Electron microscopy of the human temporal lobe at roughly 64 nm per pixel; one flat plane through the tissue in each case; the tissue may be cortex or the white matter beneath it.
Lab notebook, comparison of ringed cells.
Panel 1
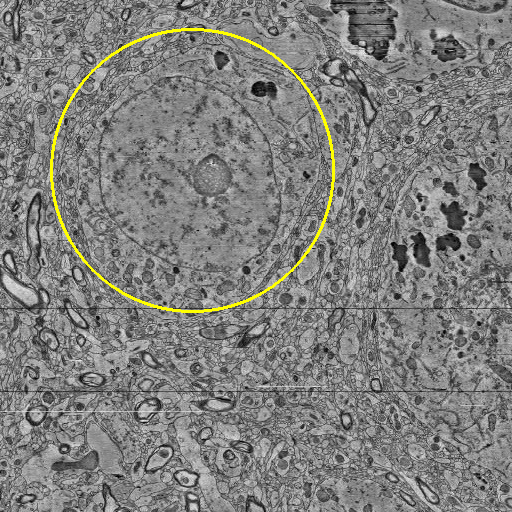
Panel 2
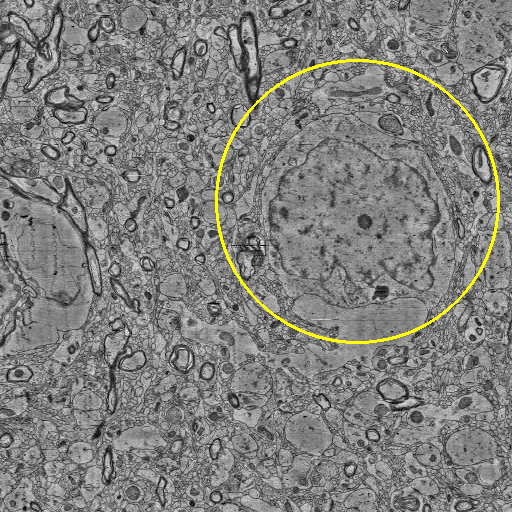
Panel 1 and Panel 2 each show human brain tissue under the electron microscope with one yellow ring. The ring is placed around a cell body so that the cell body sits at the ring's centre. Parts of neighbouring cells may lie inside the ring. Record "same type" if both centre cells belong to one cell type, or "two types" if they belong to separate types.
two types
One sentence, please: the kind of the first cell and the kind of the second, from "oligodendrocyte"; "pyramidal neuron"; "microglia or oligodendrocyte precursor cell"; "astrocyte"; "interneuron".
The ring in the first picture surrounds a pyramidal neuron, and the ring in the second surrounds an interneuron.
